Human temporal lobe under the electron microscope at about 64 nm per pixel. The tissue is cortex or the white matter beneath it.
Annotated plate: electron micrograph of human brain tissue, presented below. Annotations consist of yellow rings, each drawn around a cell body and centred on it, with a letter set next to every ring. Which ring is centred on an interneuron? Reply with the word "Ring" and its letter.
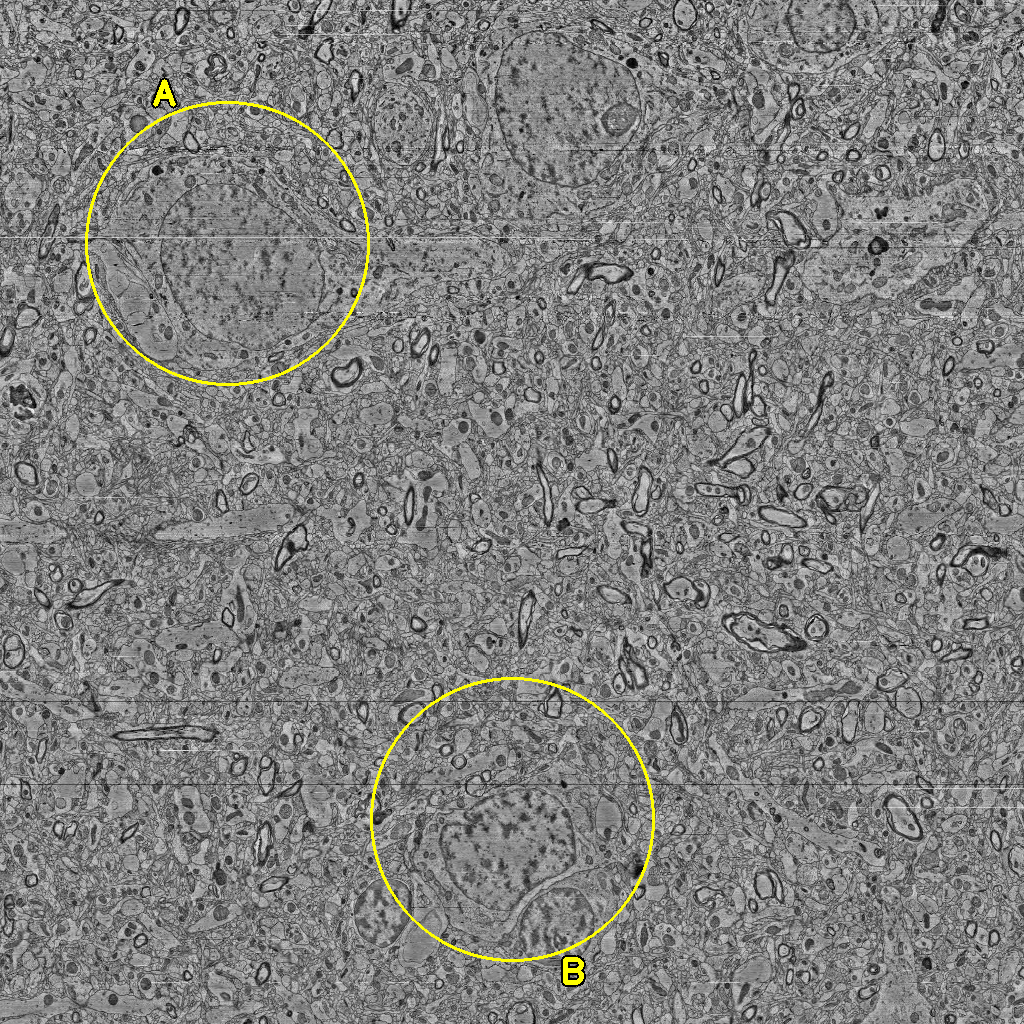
Ring B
